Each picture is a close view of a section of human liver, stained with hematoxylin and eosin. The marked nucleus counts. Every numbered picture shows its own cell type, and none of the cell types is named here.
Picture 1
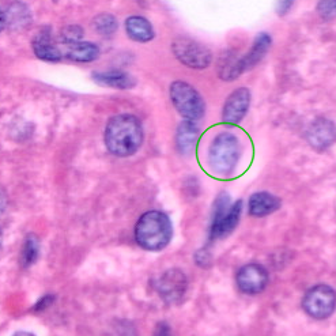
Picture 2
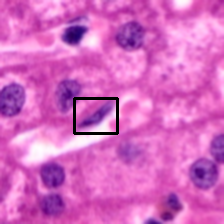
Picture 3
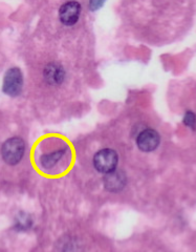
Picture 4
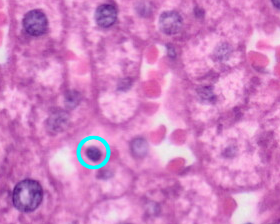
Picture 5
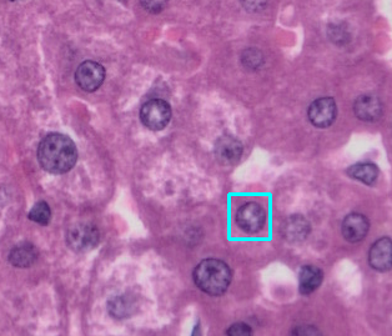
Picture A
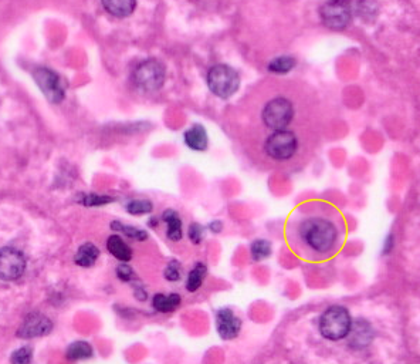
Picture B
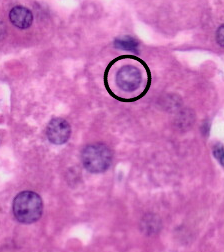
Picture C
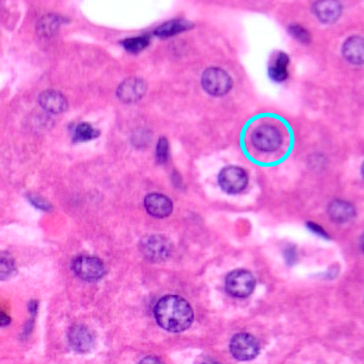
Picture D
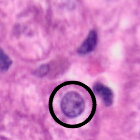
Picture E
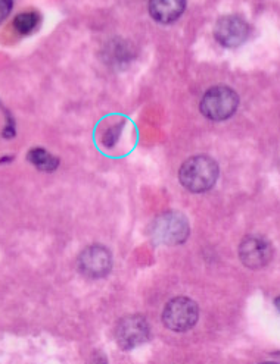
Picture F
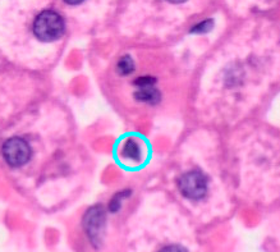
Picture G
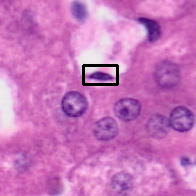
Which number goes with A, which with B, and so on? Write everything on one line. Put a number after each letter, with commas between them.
A 2, B 5, C 5, D 5, E 3, F 4, G 3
